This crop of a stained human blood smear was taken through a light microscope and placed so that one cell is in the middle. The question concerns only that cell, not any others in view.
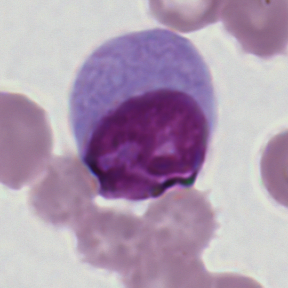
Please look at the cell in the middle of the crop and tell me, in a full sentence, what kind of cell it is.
In the middle of this smear crop, the cell is a plasma cell.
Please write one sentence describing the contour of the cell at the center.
The cell shows a smooth outline that lacks any surface projections.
